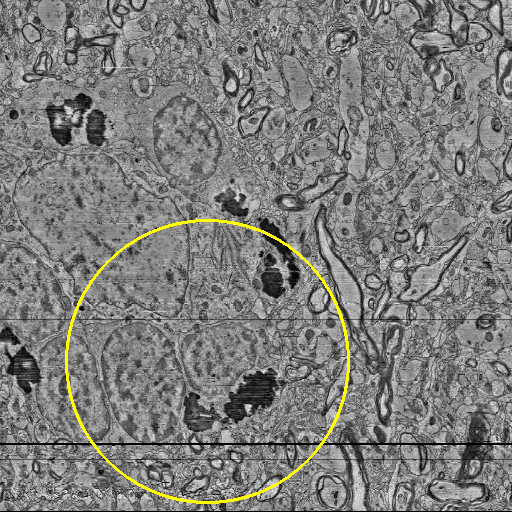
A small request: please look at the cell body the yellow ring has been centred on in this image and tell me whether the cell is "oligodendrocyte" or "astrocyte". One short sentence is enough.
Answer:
The cell marked by the ring is an oligodendrocyte.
